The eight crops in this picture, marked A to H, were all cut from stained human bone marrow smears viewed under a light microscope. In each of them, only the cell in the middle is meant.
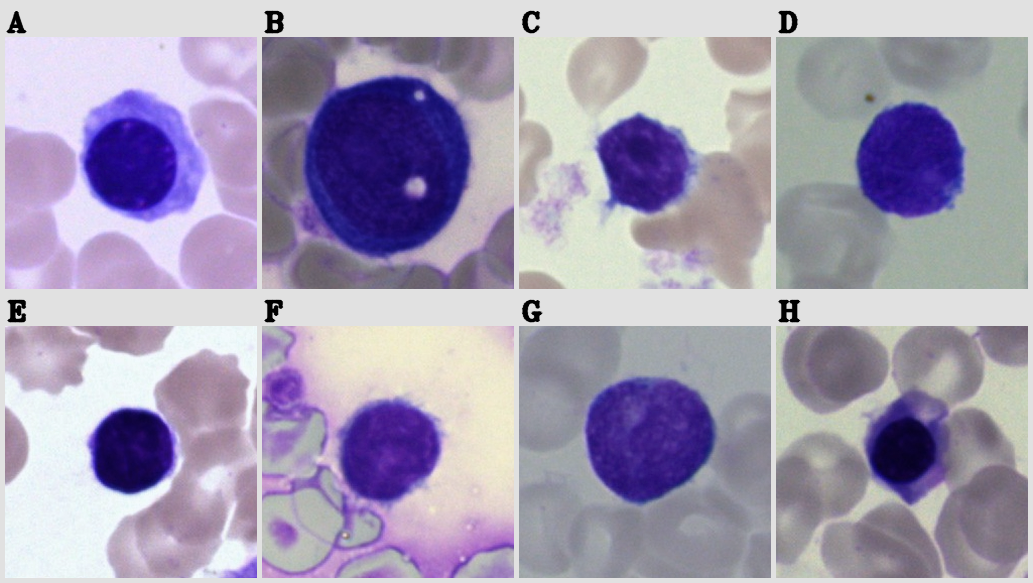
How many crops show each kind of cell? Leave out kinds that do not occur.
blast: 3
lymphocyte: 3
erythroblast: 2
